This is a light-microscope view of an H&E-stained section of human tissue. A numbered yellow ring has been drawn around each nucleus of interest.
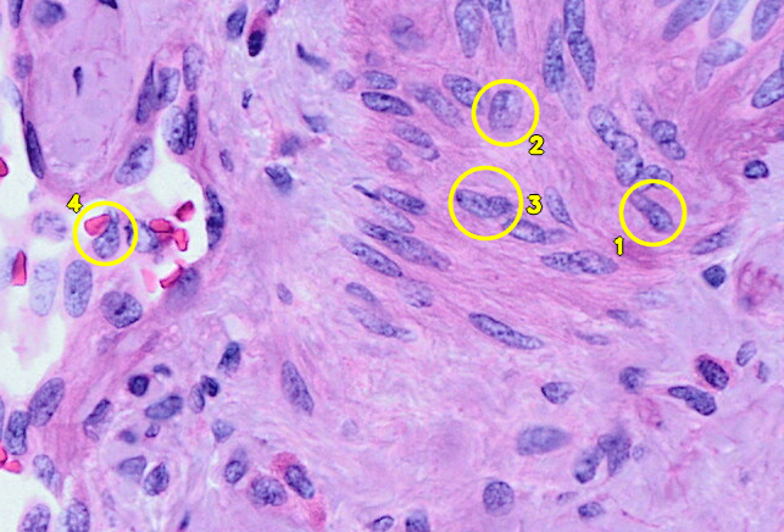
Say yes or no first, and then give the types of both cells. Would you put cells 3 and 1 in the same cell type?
Yes, cells 3 and 1 are two smooth muscle cells.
